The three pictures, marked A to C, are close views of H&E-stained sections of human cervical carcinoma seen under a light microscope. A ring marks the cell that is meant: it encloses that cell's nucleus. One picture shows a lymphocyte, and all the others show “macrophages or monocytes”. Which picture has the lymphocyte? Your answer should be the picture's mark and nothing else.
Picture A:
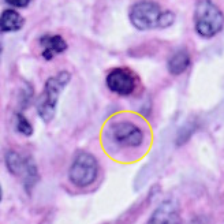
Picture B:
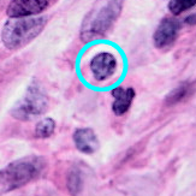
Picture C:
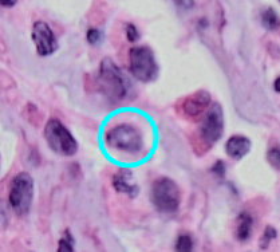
B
